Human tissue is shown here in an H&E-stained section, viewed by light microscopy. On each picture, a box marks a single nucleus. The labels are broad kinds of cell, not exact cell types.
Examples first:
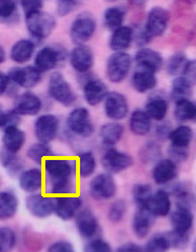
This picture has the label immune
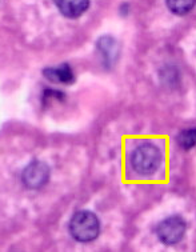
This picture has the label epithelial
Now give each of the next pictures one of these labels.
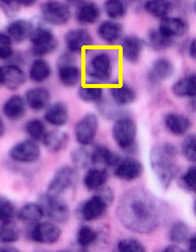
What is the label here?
immune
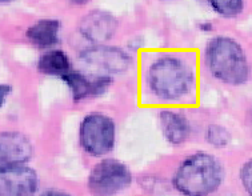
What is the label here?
epithelial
